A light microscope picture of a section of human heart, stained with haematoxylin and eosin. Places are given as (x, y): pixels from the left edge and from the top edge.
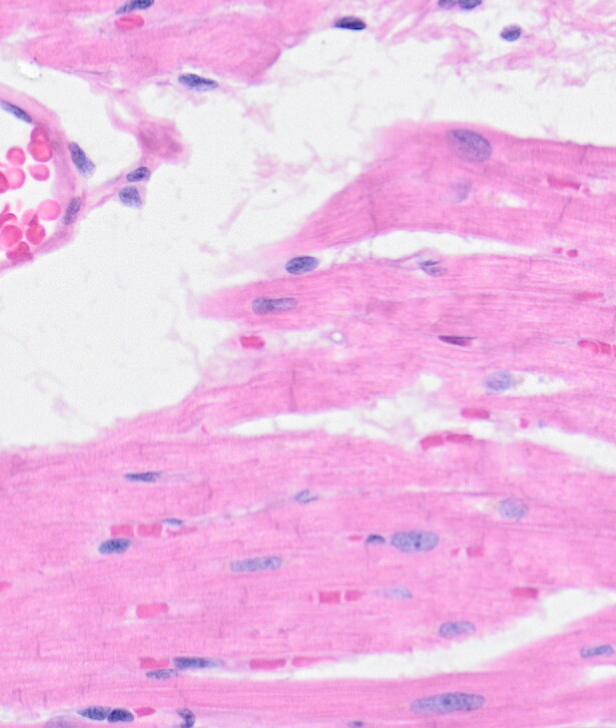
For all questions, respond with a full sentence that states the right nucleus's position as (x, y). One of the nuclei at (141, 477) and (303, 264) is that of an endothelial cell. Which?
The correct choice is the nucleus at (141, 477), which belongs to an endothelial cell.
